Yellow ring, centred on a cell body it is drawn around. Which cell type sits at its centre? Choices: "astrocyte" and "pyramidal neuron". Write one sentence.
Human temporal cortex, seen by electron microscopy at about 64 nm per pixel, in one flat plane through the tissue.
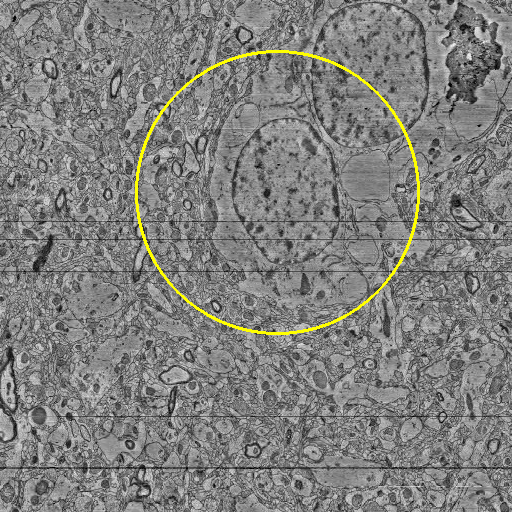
At the centre of the ring sits an astrocyte.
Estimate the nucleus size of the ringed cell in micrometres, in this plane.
In this plane, the nucleus is roughly 10 by 7 micrometres.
